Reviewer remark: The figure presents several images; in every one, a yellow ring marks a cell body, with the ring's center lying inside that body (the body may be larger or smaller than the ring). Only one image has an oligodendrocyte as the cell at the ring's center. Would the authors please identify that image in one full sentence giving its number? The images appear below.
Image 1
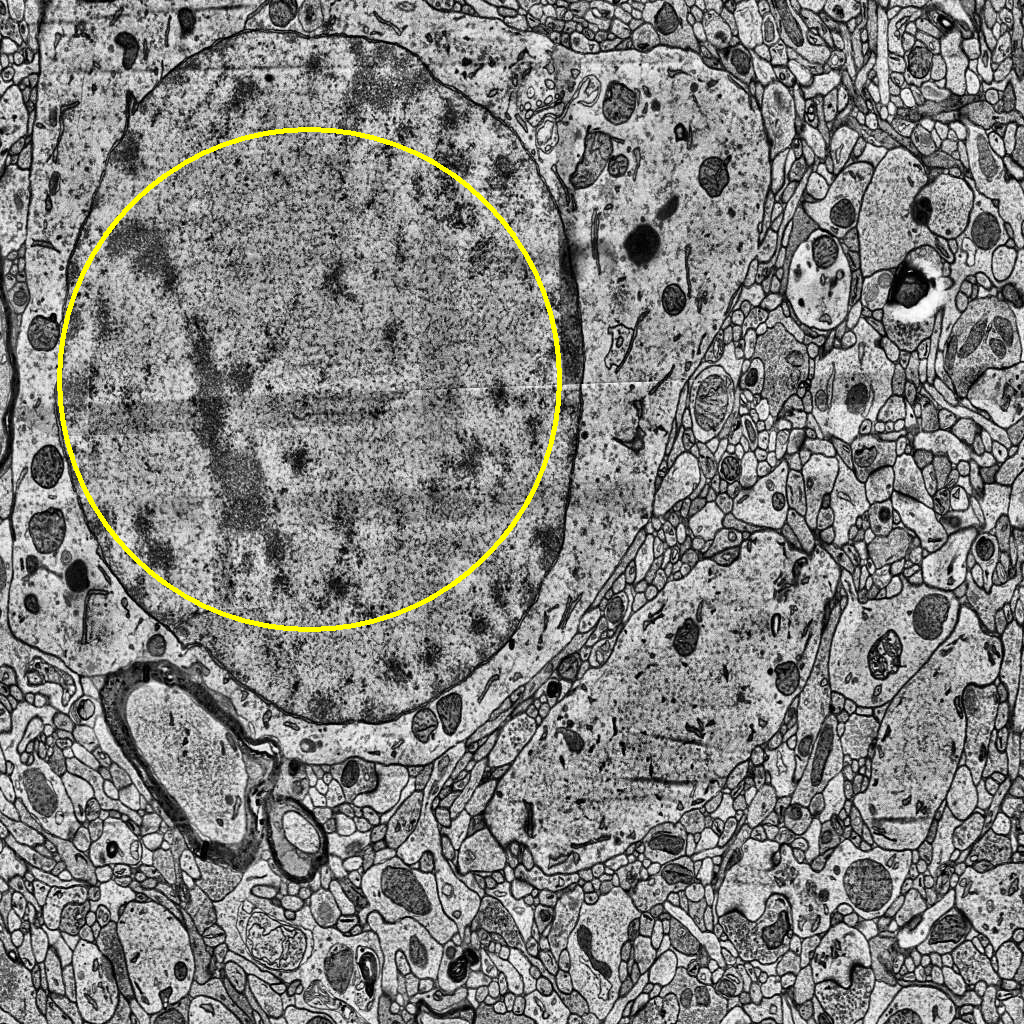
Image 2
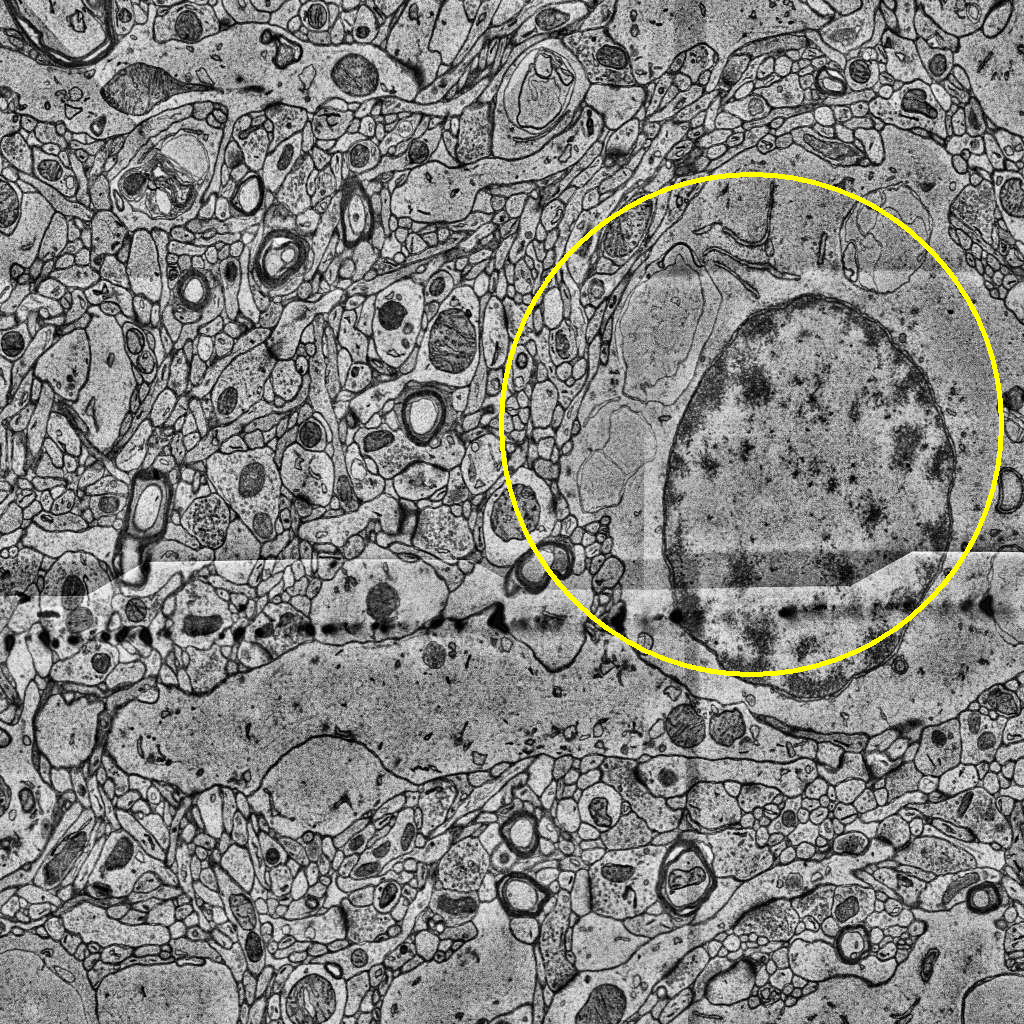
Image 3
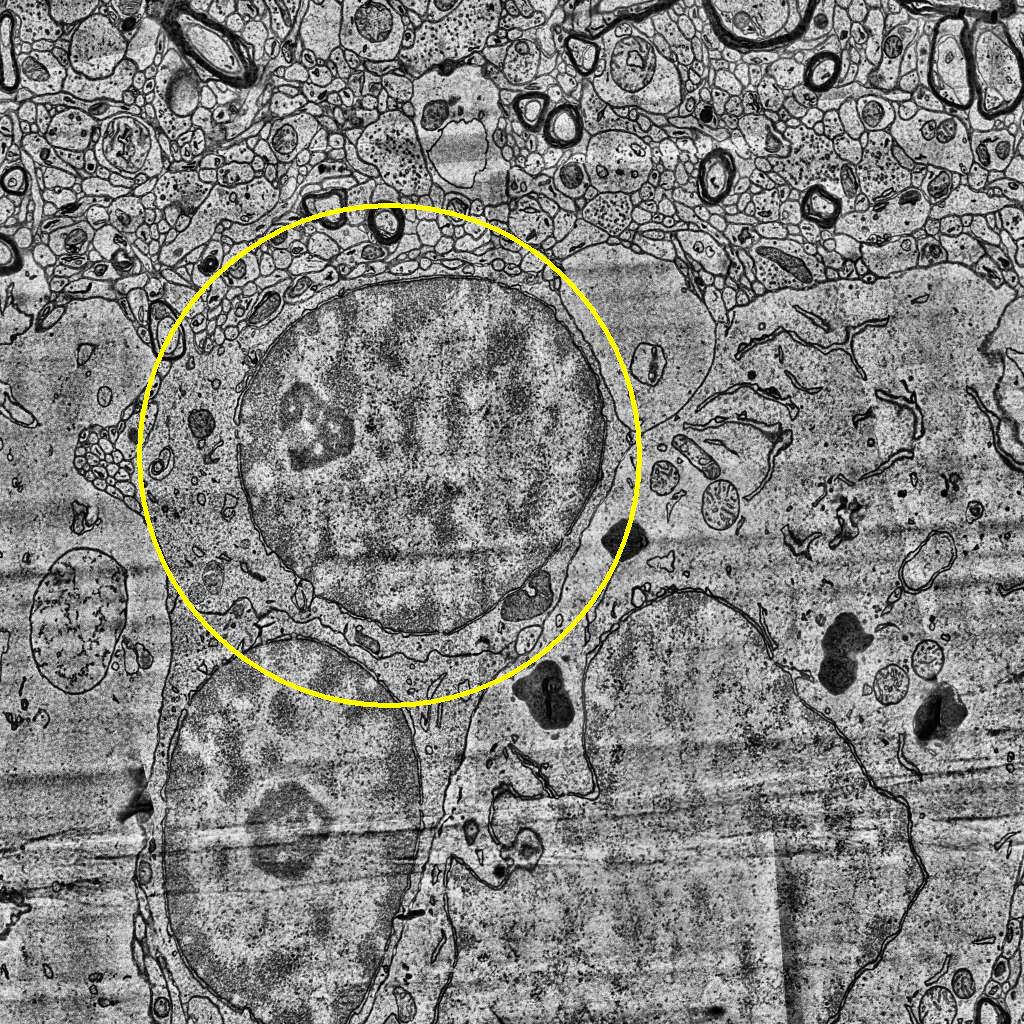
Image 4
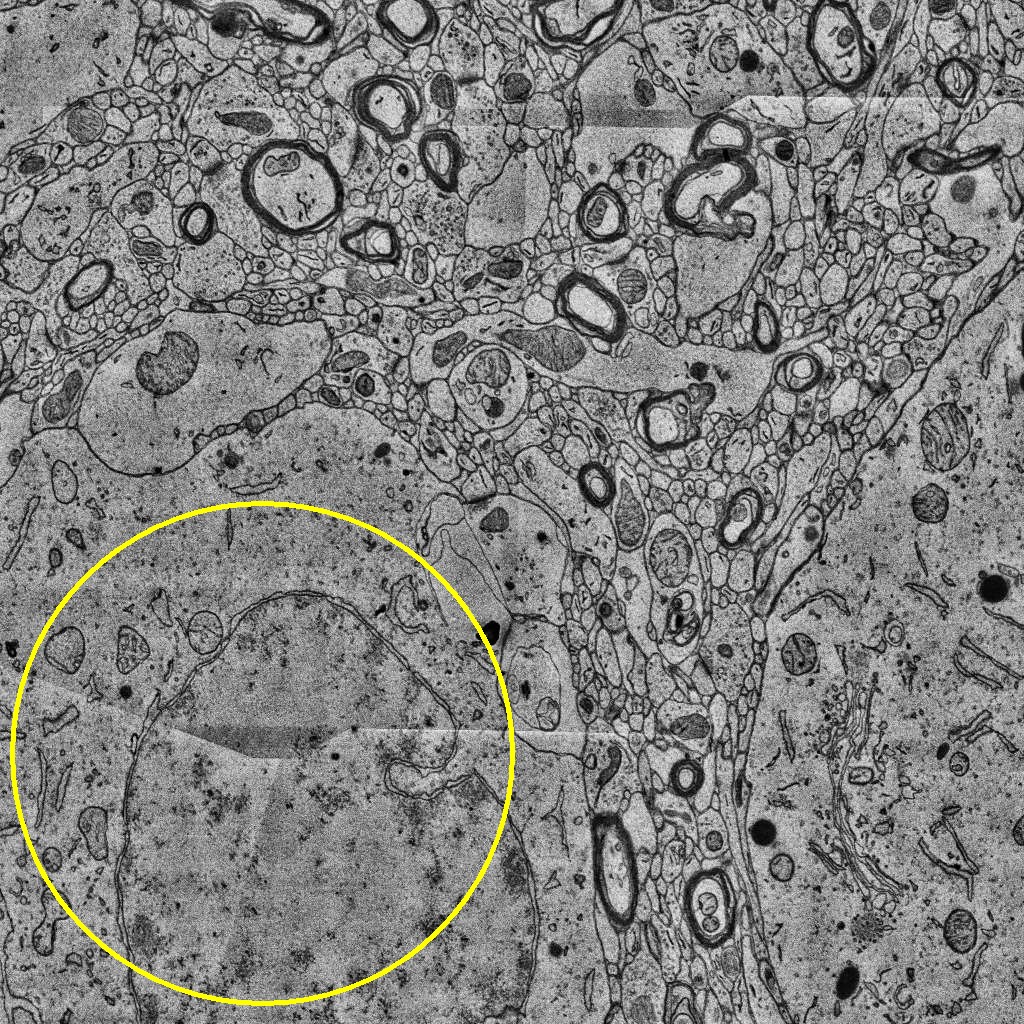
The cell at the ring's center in image 3 is the one the question describes.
